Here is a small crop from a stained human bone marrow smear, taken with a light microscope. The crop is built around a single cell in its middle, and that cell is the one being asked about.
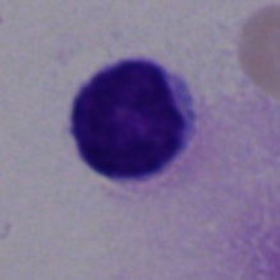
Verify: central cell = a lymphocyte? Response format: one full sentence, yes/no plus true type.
Yes, the cell sitting in the center is a lymphocyte.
